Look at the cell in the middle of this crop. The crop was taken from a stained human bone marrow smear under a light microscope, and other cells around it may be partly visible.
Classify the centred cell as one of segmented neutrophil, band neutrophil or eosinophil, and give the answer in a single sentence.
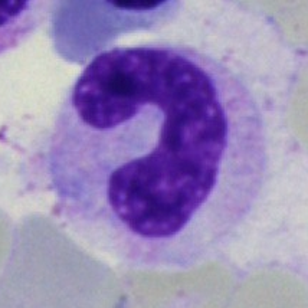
This particular crop is centered on a band neutrophil.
